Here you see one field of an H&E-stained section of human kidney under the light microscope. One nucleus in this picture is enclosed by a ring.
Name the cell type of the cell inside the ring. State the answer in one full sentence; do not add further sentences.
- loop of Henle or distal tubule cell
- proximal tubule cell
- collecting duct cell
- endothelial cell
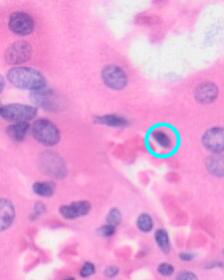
Speaking plainly, the cell inside the ring is nothing other than an endothelial cell.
